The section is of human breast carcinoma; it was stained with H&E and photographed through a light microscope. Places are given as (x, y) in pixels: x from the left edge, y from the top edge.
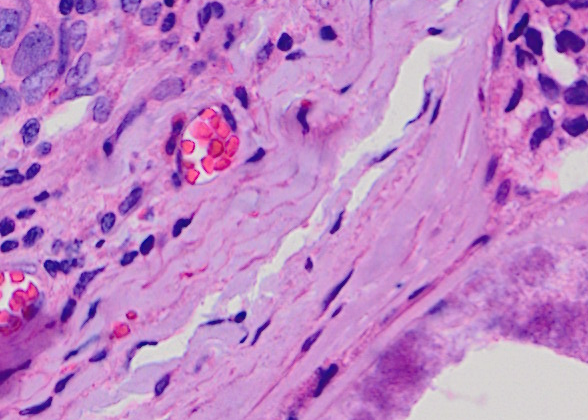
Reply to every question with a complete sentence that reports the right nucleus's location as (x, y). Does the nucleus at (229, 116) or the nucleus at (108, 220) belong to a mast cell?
At (108, 220) lies the nucleus that belongs to a mast cell.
